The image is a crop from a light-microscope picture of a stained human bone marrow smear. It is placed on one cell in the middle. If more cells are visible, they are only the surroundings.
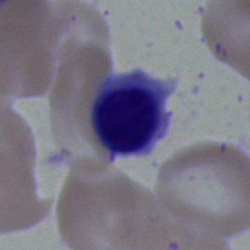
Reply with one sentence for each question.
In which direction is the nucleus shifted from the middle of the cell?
The nucleus lies toward the lower left of the cell.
